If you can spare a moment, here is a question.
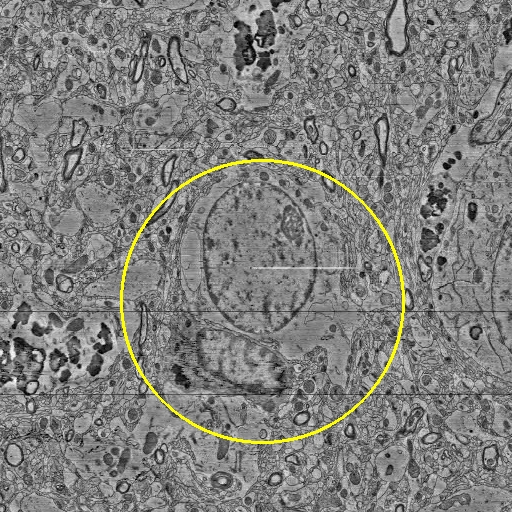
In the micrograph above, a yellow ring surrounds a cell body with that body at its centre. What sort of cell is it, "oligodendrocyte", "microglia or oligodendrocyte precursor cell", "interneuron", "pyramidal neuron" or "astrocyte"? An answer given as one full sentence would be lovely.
Centred inside the yellow ring, the cell body shown belongs to an astrocyte in this micrograph.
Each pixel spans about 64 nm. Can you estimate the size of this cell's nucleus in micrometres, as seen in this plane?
About 10 by 7 micrometres in this plane.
